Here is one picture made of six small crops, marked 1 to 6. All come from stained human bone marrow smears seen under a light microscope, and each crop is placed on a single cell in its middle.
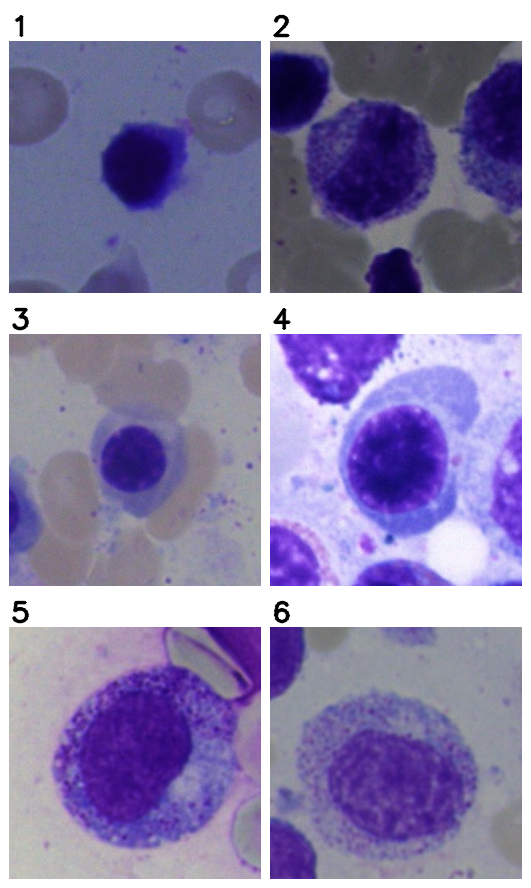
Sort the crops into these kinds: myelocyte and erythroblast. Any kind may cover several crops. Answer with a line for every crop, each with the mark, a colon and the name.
1: erythroblast
2: myelocyte
3: erythroblast
4: erythroblast
5: myelocyte
6: myelocyte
